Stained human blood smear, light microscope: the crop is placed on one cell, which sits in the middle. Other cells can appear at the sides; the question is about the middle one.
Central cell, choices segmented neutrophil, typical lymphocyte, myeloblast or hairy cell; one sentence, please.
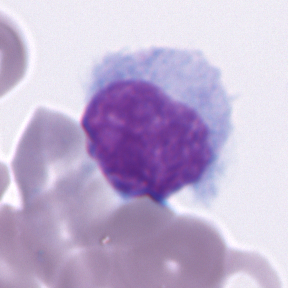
The cell in the middle of the field of view is a hairy cell.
